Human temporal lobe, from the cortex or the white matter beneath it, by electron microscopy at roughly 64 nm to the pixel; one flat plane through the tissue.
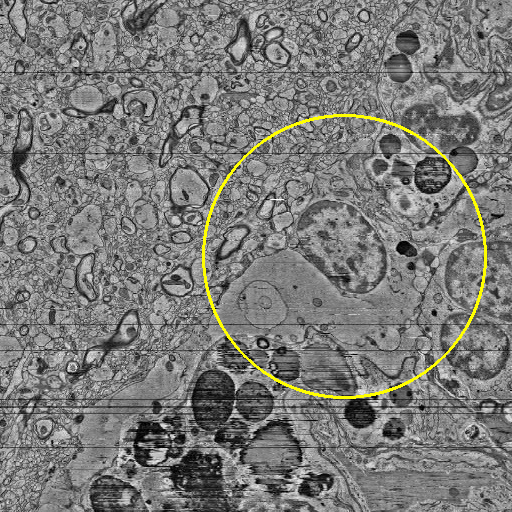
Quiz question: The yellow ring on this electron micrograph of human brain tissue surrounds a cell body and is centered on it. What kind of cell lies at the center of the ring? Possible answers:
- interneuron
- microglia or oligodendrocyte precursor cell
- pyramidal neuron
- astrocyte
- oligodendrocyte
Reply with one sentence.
The ring's center lies on a microglial cell or oligodendrocyte precursor cell.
